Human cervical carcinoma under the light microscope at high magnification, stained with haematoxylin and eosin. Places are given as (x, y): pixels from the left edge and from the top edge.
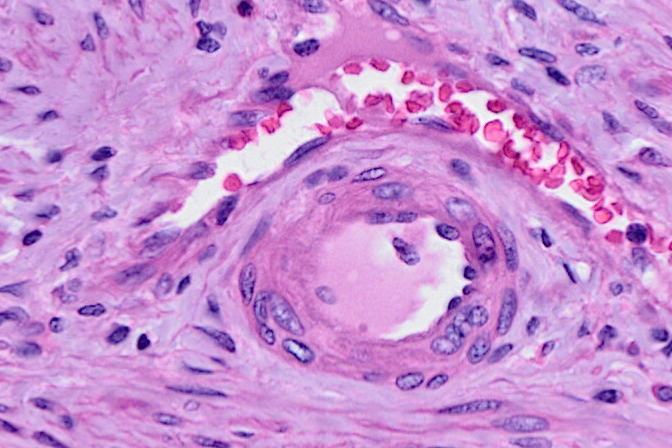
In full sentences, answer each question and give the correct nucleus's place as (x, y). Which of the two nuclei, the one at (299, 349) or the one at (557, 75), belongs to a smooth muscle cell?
The nucleus of the pair that lies within a smooth muscle cell is at (299, 349).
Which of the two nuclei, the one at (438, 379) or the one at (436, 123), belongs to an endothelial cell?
Of the pair, the nucleus located at (436, 123) belongs to an endothelial cell.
